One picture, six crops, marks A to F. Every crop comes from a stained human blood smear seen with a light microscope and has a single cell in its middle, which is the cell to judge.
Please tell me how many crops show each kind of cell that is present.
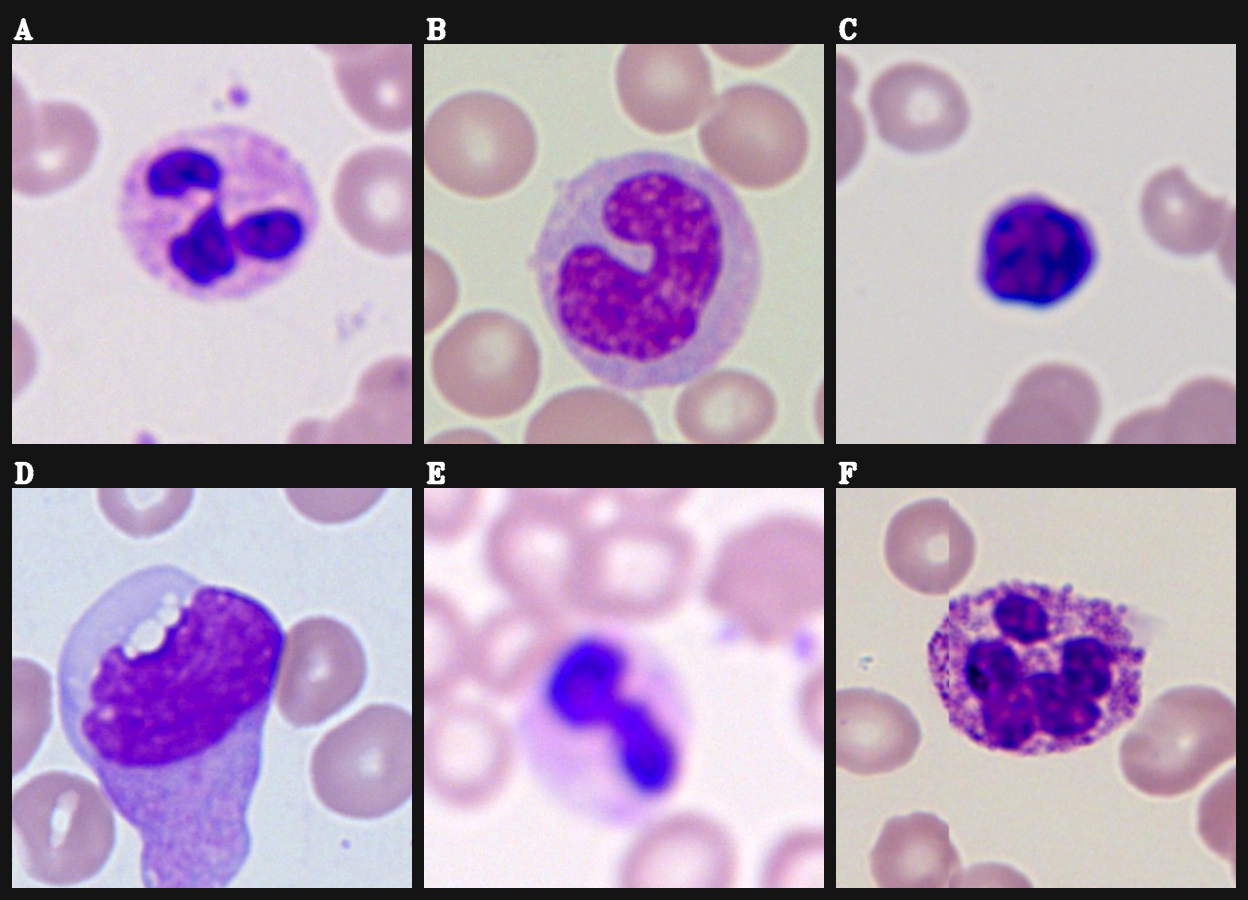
segmented neutrophil: 3
monocyte: 2
lymphocyte: 1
